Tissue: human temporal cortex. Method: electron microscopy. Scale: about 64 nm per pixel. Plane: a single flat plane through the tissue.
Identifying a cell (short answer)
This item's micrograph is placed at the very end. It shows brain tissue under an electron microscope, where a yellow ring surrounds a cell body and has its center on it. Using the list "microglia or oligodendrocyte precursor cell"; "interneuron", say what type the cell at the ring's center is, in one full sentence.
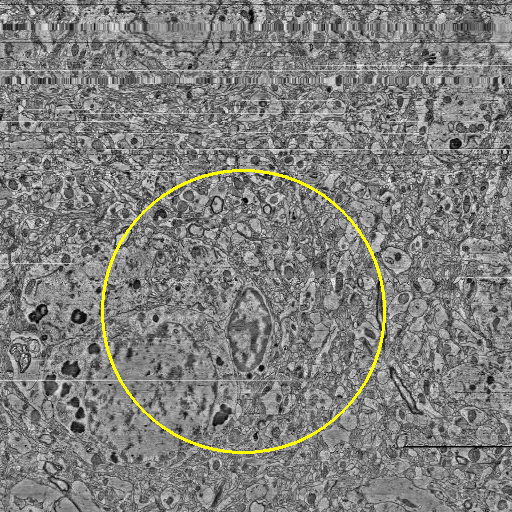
This picture shows a microglial cell or oligodendrocyte precursor cell at the center of the yellow ring drawn on it.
